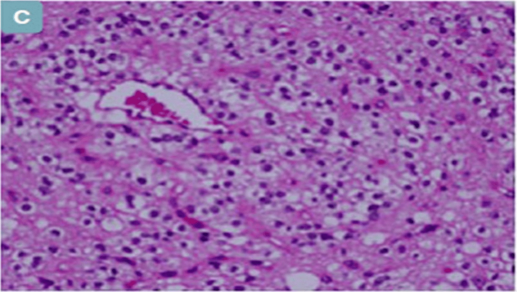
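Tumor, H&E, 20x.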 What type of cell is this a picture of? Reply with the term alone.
Oligodendroglioma-like cells.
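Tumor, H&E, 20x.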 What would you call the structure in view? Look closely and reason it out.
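Thin-walled capillary channels. The vessel has a thin wall without a thick muscular coat. Small red-filled channels are scattered among the cells.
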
